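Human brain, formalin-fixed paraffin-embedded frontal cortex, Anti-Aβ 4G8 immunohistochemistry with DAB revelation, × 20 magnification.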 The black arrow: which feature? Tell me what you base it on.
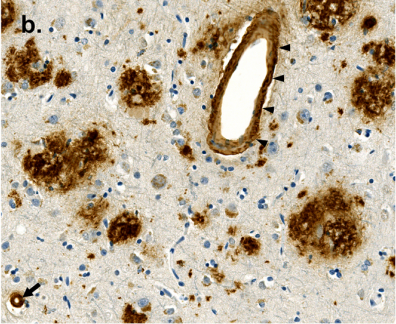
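The arrow points to a tiny round profile at the lower left. The profile has a small lumen, about the size of one cell, ringed by brown.
Capillary.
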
